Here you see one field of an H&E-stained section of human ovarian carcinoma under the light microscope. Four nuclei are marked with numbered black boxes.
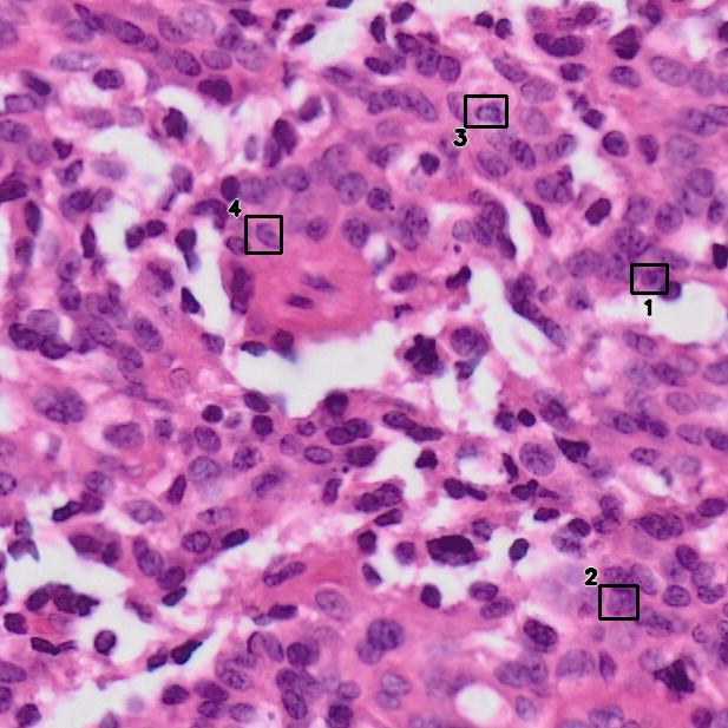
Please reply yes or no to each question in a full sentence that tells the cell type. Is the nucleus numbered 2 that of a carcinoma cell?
Yes, the marked cell numbered 2 is a carcinoma cell.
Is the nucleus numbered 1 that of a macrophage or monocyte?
No, the cell identified by number 1 is a carcinoma cell, not a macrophage or monocyte.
